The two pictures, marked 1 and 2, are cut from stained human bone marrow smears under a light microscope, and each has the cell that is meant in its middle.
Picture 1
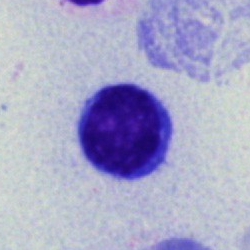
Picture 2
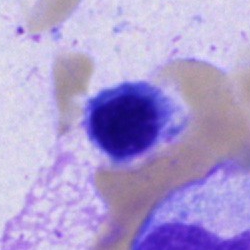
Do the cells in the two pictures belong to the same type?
no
